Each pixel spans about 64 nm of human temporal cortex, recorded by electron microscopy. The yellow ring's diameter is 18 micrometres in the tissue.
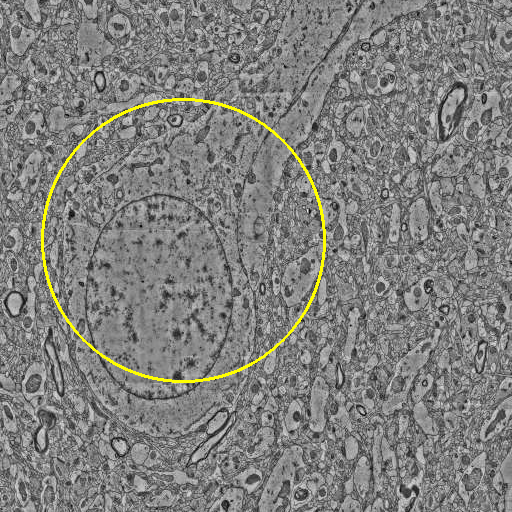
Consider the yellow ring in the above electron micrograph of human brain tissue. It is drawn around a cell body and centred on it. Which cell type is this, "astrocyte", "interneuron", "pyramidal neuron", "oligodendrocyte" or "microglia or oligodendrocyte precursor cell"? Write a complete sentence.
The cell in question is a pyramidal neuron.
